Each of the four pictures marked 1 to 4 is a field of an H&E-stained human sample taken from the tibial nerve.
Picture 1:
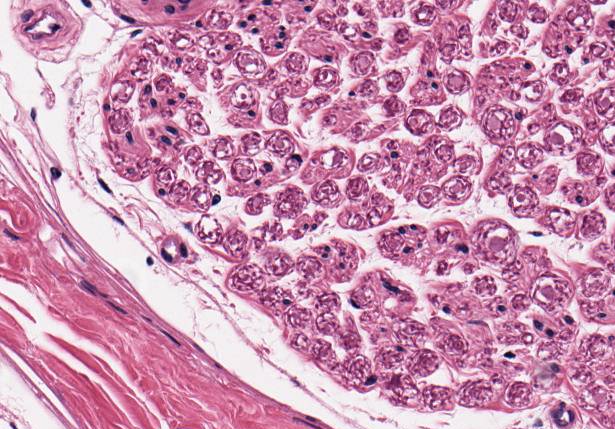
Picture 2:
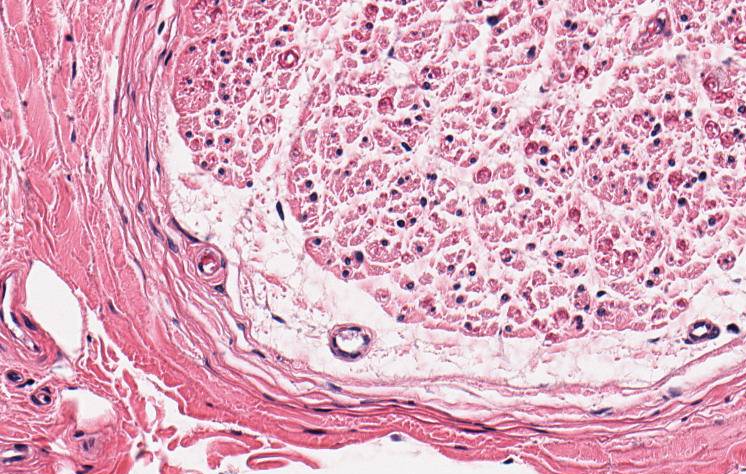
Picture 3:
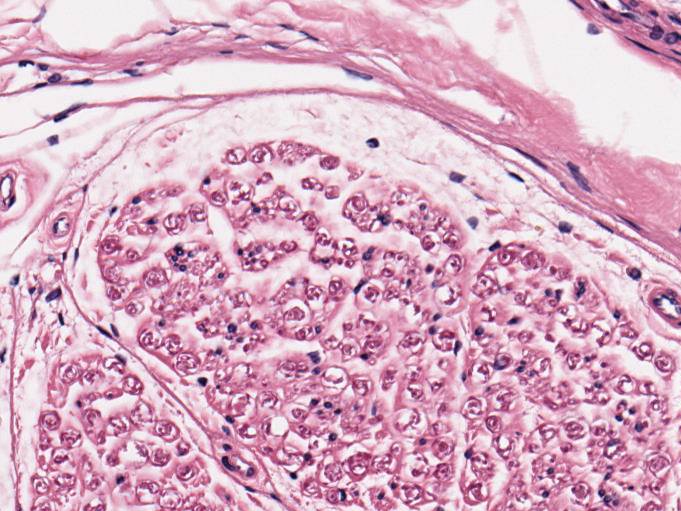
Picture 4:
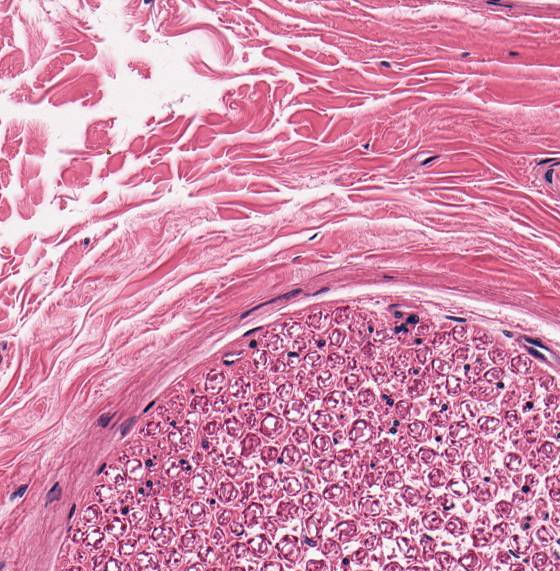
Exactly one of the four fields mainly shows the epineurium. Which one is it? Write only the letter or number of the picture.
4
